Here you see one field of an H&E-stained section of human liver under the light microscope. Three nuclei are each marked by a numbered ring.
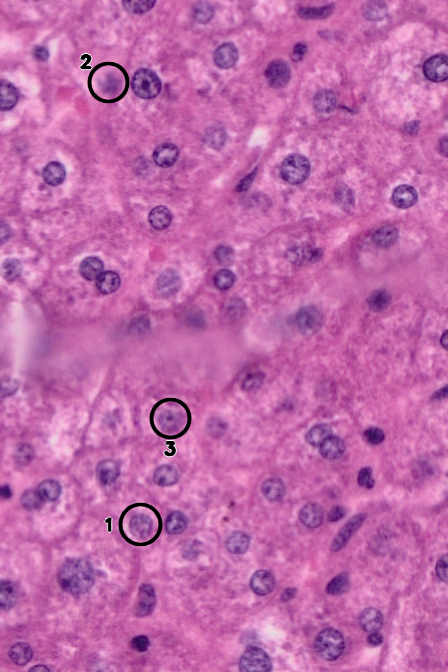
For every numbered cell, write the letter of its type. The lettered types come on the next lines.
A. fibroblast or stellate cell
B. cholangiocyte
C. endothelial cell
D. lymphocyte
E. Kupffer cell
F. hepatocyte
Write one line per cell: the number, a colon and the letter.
1: F
2: C
3: F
